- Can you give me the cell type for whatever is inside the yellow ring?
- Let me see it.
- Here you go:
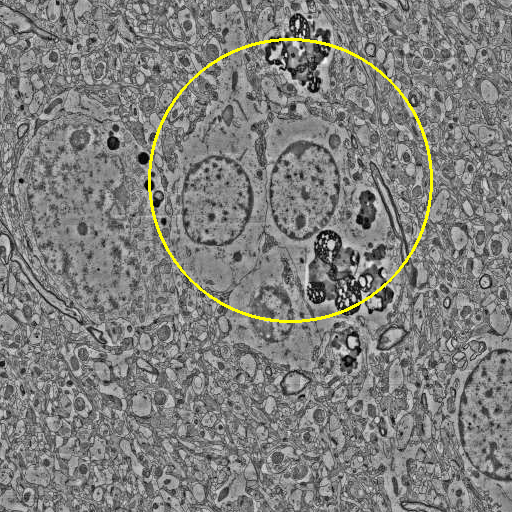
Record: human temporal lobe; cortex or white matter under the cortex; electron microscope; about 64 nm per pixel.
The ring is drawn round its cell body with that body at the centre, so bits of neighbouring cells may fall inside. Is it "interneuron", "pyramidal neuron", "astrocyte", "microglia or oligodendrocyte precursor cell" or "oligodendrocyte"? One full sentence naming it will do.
The cell body in the middle of the ring in this picture belongs to an astrocyte.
